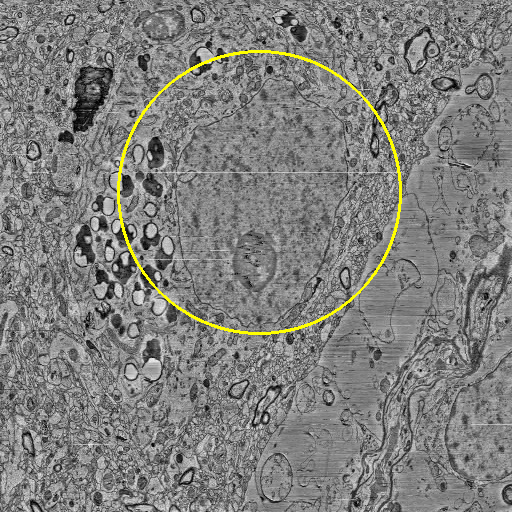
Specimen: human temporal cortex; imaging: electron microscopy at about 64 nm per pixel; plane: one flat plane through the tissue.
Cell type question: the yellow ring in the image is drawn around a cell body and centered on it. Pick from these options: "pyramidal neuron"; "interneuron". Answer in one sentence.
The ringed cell at the center is a pyramidal neuron.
